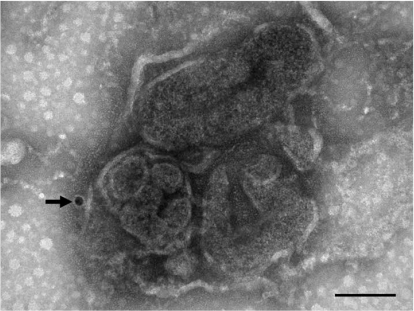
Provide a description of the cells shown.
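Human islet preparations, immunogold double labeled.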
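A negatively stained cluster of extracellular vesicles, several rounded and elongated membrane-bound profiles packed side by side, each with a finely granular interior and a thin membrane rim. A single dark gold particle sits at the outer edge of one vesicle, against a mottled pale background.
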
